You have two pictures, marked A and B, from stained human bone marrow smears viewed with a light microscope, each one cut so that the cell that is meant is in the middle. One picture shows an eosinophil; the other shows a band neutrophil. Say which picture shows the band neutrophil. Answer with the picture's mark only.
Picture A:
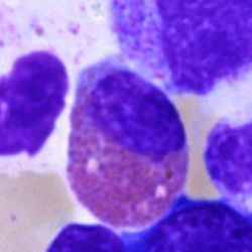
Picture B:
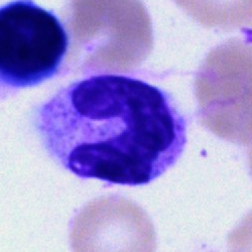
B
